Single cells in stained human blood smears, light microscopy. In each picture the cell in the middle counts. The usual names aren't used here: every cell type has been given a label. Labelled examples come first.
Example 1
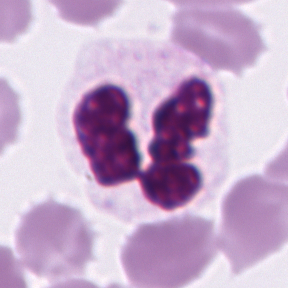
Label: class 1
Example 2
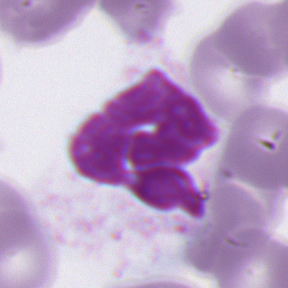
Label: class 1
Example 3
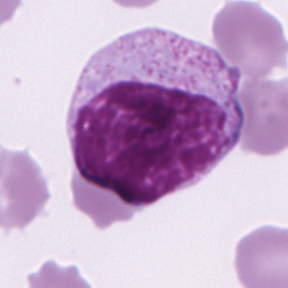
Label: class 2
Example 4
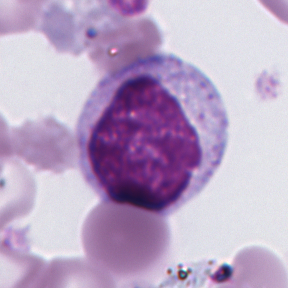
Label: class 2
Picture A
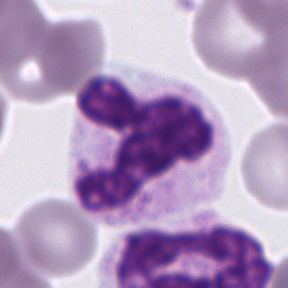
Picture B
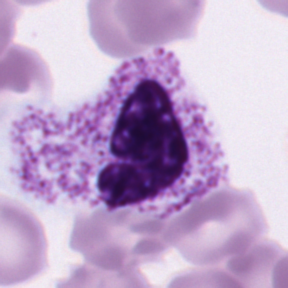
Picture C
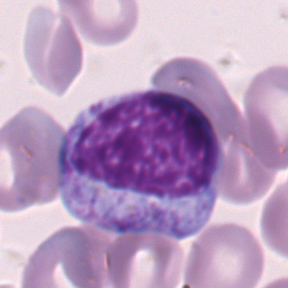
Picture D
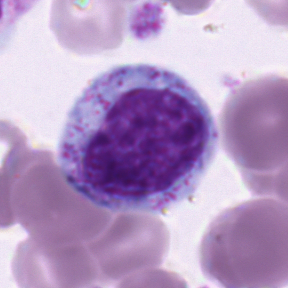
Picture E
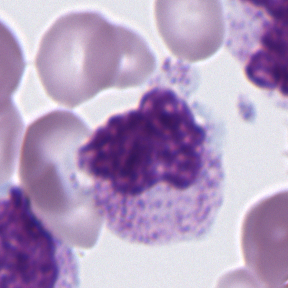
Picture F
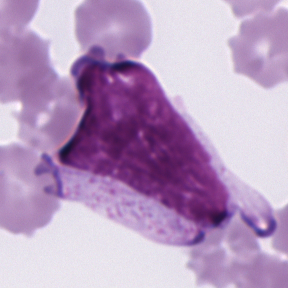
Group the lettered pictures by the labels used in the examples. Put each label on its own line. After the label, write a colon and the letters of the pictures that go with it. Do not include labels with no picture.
class 1: A, B, E
class 2: C, D, F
